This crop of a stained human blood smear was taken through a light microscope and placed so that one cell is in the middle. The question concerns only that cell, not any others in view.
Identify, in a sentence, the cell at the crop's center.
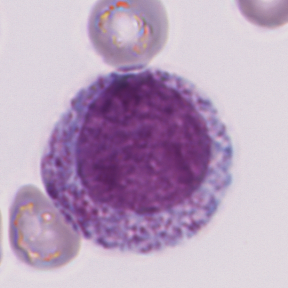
This crop's central cell is a promyelocyte.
